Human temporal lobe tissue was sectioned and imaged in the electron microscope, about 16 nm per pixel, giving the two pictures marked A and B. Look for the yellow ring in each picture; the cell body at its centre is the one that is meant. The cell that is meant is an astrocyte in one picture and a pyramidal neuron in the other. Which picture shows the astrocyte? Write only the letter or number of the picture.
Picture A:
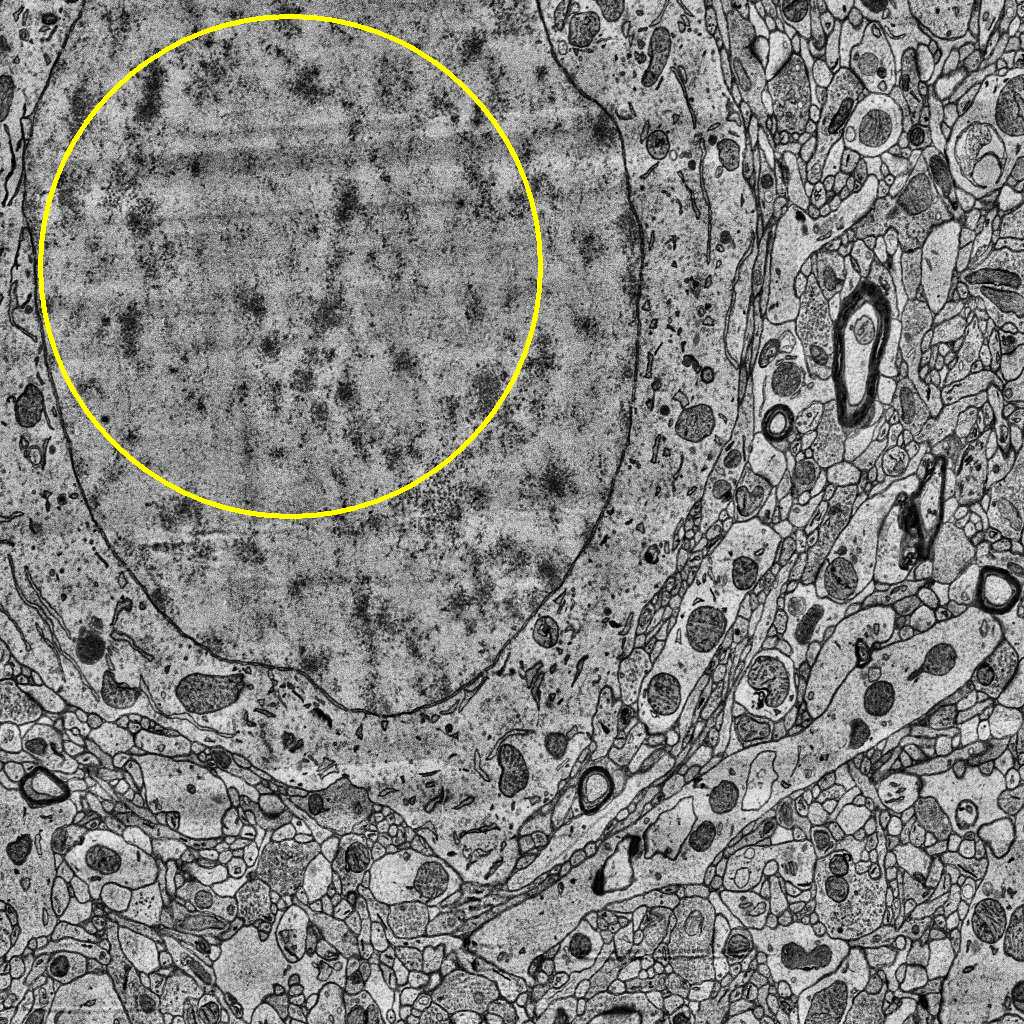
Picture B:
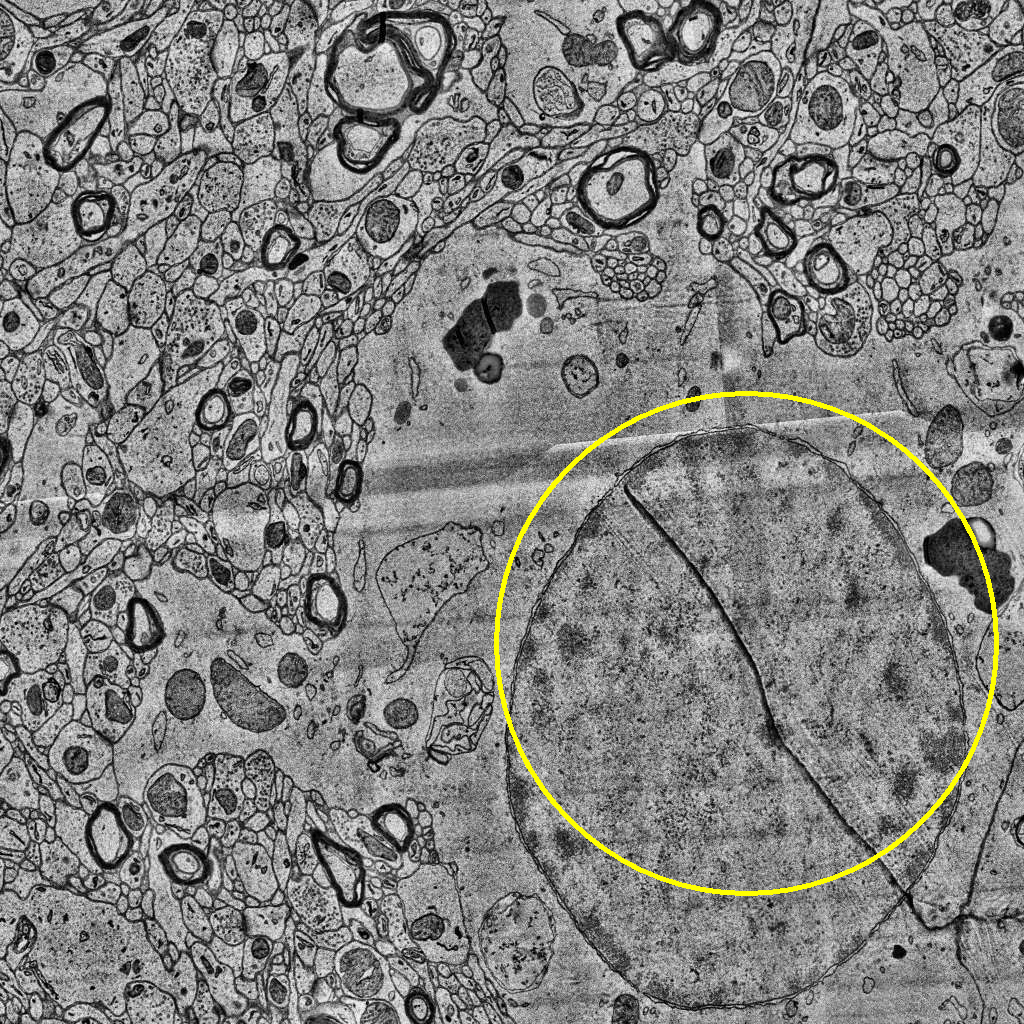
B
